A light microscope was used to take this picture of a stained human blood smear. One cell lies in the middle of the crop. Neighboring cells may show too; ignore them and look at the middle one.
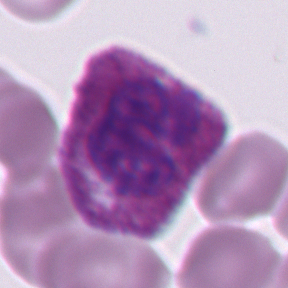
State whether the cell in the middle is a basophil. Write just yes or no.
no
